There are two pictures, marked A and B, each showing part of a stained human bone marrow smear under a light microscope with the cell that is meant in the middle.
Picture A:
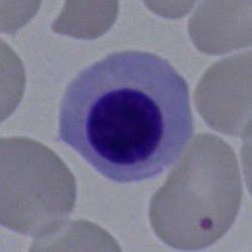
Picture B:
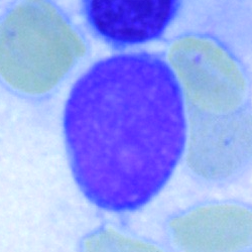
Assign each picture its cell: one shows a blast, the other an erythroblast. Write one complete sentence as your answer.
Picture A is of an erythroblast, and picture B is of a blast.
